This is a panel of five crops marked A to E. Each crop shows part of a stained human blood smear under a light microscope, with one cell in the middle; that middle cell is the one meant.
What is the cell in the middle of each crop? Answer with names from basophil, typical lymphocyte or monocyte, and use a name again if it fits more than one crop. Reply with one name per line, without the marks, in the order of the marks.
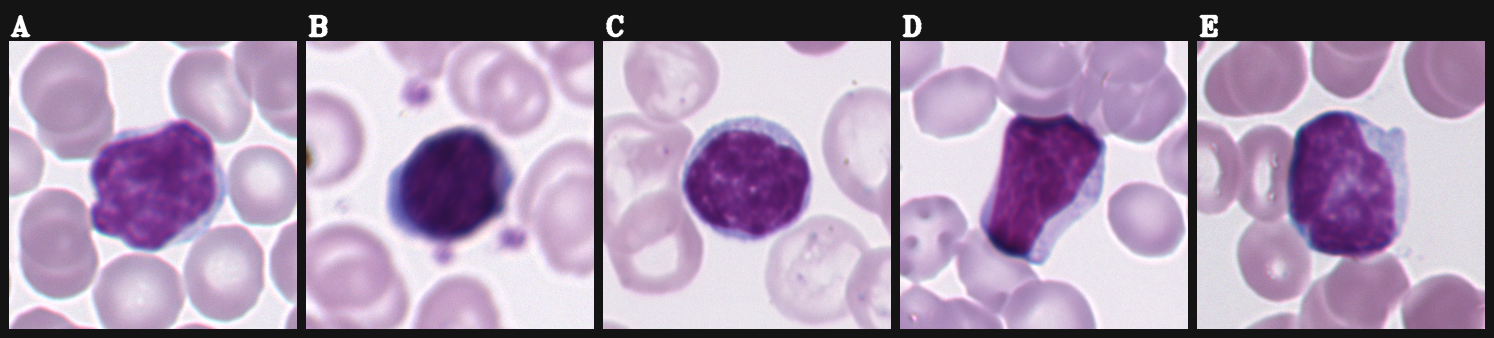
typical lymphocyte
typical lymphocyte
typical lymphocyte
typical lymphocyte
typical lymphocyte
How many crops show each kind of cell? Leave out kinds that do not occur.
typical lymphocyte: 5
